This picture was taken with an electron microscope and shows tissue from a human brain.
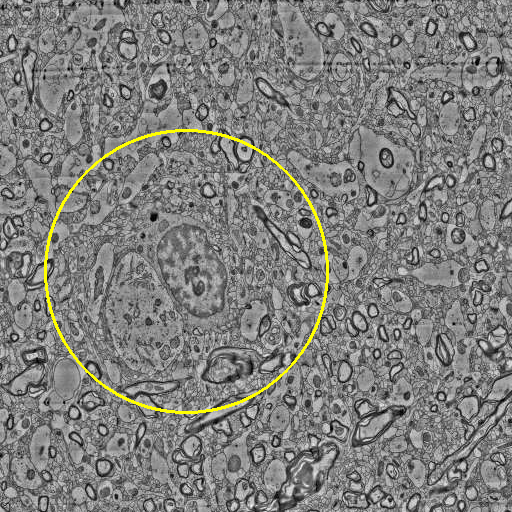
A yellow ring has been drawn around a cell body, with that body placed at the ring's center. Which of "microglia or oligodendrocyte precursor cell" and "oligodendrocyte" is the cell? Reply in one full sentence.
In this picture, an oligodendrocyte is the cell at the center of the yellow ring.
